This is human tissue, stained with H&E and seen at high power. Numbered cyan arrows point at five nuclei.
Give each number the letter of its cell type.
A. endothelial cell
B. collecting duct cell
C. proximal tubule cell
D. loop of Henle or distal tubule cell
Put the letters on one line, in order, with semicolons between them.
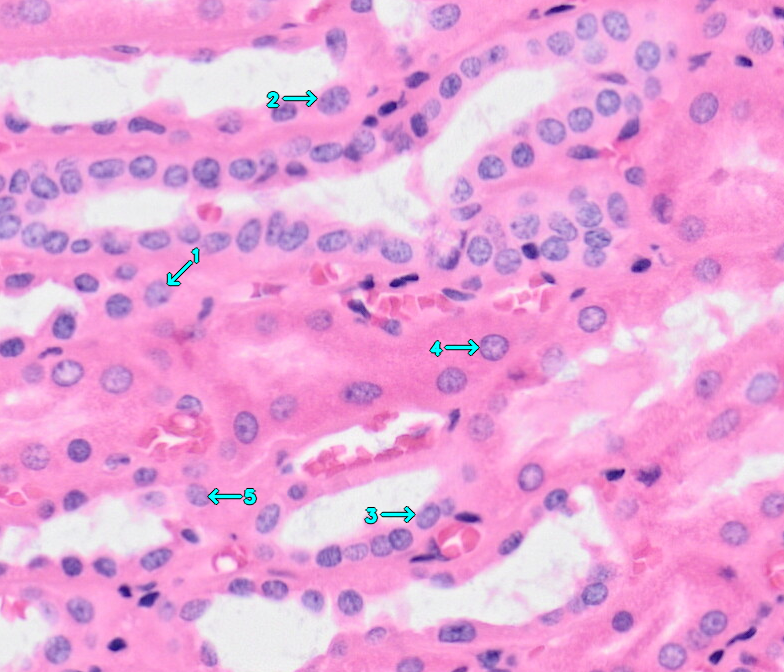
D; D; B; C; D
